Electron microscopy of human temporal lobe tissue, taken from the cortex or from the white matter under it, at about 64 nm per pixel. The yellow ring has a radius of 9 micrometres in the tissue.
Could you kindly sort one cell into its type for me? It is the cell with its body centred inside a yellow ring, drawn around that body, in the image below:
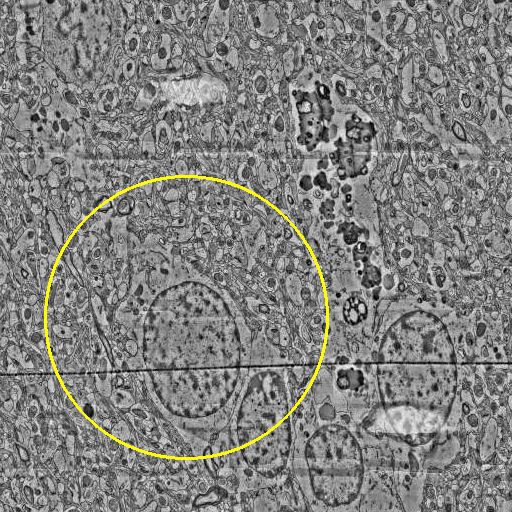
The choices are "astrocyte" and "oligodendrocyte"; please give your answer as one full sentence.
The cell whose body lies centred in the yellow ring here is an astrocyte.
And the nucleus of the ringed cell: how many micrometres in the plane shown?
About 9 by 6 micrometers, in this plane.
